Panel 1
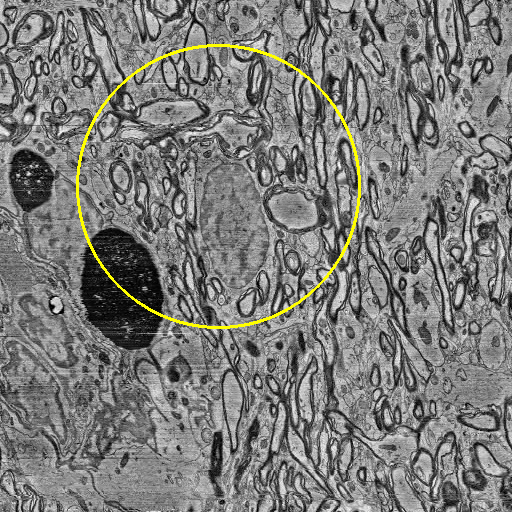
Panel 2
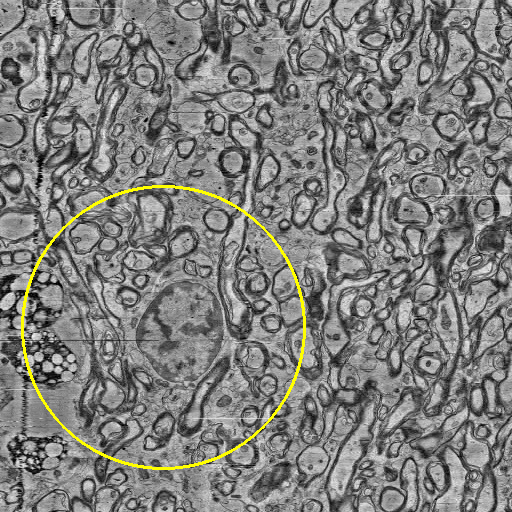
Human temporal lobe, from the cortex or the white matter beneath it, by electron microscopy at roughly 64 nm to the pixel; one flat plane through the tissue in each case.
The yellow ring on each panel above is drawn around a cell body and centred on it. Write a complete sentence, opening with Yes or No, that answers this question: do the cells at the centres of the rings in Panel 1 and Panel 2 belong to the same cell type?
No, the two cells belong to two cell types.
